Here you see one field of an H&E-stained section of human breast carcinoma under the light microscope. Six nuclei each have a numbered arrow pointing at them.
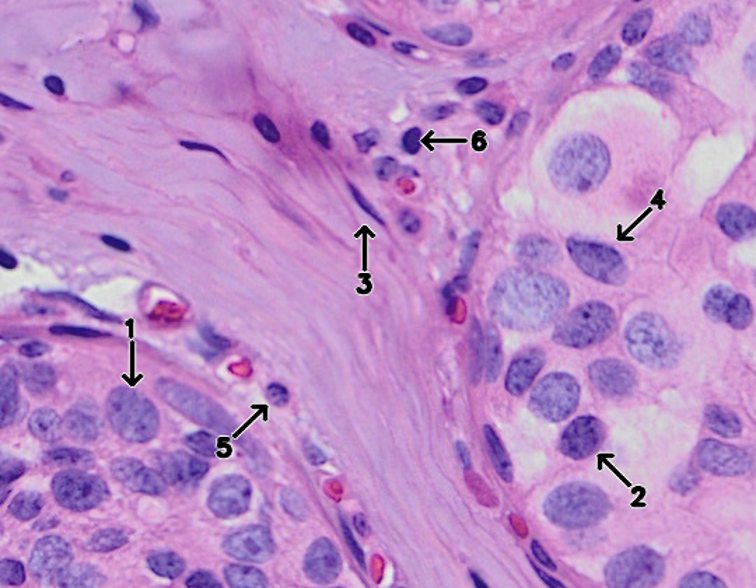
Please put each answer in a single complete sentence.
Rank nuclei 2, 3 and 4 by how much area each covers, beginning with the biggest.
Going from the biggest nucleus down to the smallest gives 4, 2, 3.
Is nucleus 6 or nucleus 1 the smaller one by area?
It is nucleus 6; nucleus 1 has about 4 times its area.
